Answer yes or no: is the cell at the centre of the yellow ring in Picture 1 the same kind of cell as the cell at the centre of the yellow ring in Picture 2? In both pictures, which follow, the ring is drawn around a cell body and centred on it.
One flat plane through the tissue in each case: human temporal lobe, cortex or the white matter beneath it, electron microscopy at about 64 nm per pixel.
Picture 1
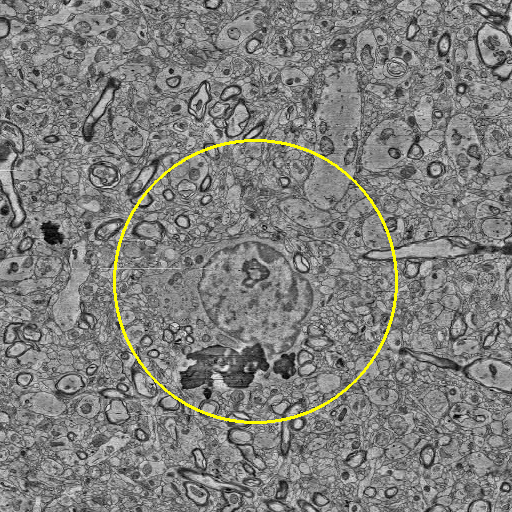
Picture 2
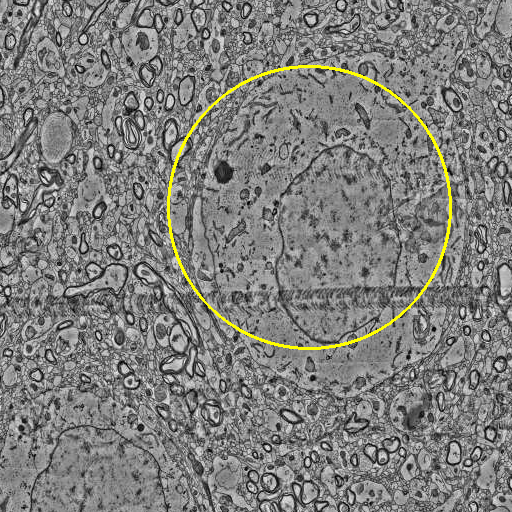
no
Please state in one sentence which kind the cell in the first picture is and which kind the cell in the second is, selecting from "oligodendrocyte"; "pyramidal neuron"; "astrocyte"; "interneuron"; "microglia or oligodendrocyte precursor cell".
The first ringed cell is an oligodendrocyte, the second ringed cell a pyramidal neuron.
